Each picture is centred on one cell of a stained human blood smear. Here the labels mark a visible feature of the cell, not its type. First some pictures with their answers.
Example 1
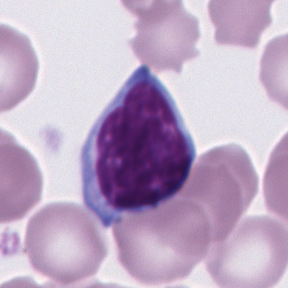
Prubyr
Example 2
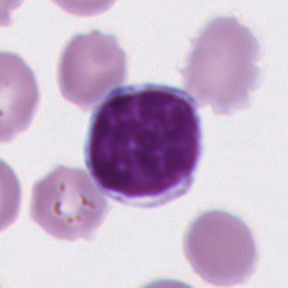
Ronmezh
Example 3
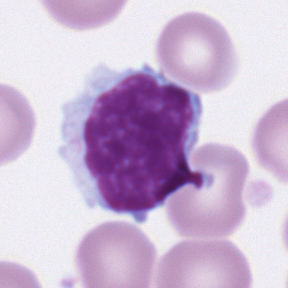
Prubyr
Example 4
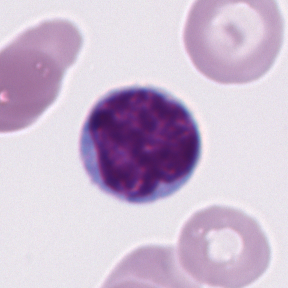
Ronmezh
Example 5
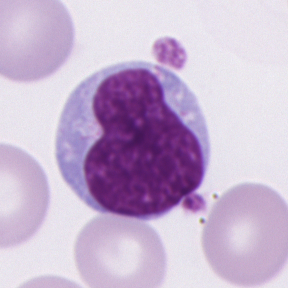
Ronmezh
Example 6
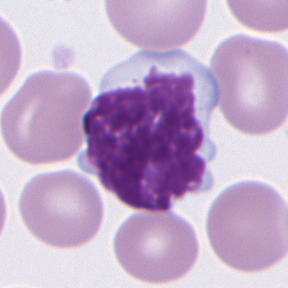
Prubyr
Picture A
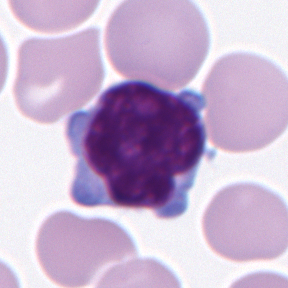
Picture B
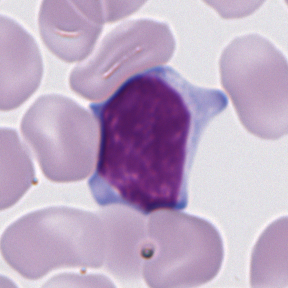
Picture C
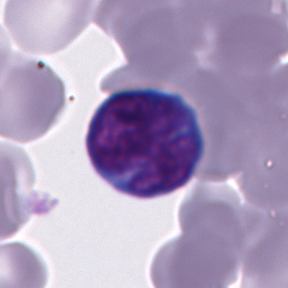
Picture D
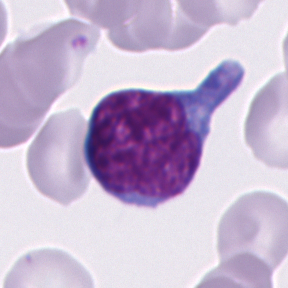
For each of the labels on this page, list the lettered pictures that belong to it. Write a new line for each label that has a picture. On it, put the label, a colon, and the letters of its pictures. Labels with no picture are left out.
Prubyr: A, B, D
Ronmezh: C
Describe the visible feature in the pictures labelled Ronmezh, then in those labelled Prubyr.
In Ronmezh: smooth outline. In Prubyr: ragged outline or projections.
